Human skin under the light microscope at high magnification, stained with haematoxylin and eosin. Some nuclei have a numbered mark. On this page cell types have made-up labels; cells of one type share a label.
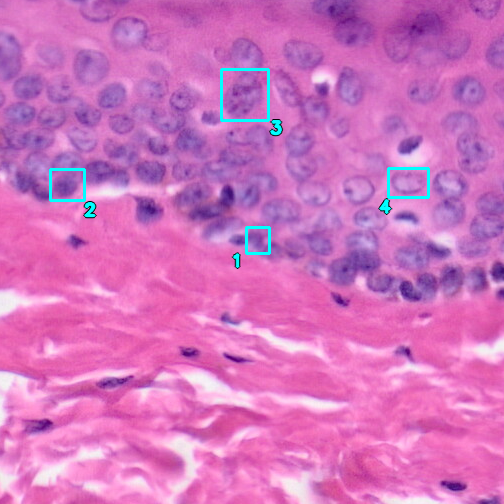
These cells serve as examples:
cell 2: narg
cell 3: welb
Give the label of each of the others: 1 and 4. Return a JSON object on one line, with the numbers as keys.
{"1": "narg", "4": "welb"}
